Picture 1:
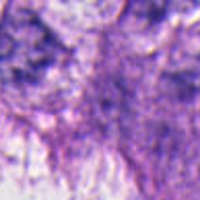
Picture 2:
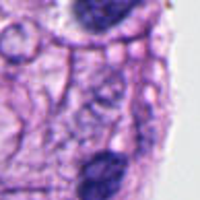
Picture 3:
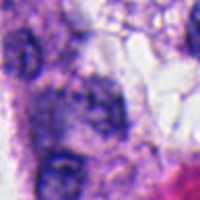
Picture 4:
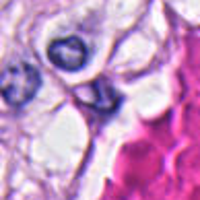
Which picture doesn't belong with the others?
Picture 4.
